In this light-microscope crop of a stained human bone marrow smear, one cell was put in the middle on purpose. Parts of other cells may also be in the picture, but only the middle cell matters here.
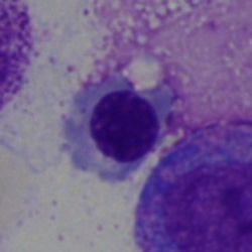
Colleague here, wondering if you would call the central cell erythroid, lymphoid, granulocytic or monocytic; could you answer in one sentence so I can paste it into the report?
Lineage of the cell at the center of this crop: erythroid.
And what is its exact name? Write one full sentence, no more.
The middle cell in this particular crop is an erythroblast.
